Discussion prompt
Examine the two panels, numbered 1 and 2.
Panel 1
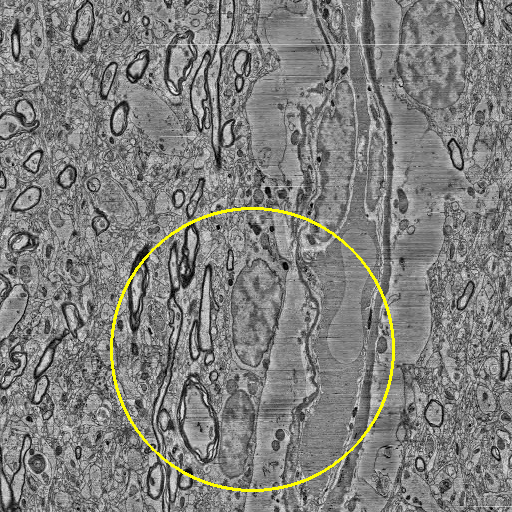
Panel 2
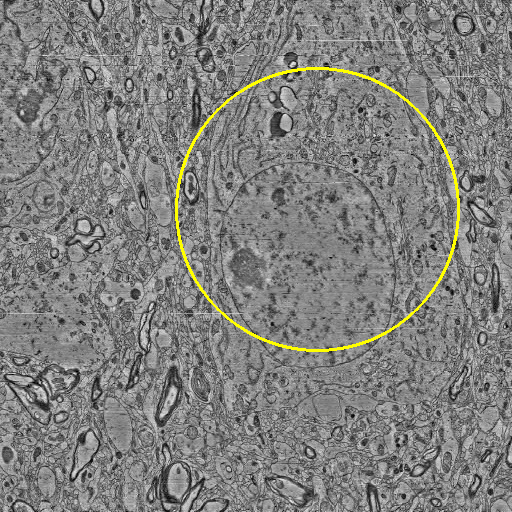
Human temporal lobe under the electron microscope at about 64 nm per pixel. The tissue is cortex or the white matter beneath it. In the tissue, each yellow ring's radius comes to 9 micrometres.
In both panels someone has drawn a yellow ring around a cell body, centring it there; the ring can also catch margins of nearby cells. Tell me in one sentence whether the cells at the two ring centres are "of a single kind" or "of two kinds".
Taken together, the two cells centred in the rings of Panels 1 and 2 are of two kinds.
